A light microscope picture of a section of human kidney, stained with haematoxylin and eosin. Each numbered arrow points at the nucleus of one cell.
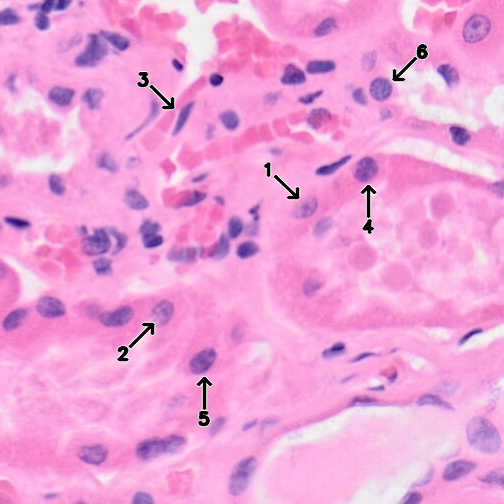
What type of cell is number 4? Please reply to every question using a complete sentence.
The cell assigned the number 4 is a proximal tubule cell.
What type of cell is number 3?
Identified by the number 3, the cell is an endothelial cell.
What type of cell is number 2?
Cell 2 in the field is a proximal tubule cell.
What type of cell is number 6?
In this section, the cell tagged 6 is a loop of Henle or distal tubule cell.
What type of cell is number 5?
The cell indicated by marker 5 is a proximal tubule cell in this section.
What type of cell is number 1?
Cell 1 in the field of view is a proximal tubule cell.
